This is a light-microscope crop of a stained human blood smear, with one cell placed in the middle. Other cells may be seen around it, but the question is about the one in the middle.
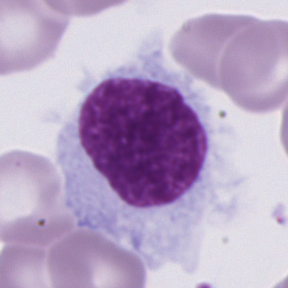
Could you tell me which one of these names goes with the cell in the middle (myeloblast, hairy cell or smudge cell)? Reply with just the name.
hairy cell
